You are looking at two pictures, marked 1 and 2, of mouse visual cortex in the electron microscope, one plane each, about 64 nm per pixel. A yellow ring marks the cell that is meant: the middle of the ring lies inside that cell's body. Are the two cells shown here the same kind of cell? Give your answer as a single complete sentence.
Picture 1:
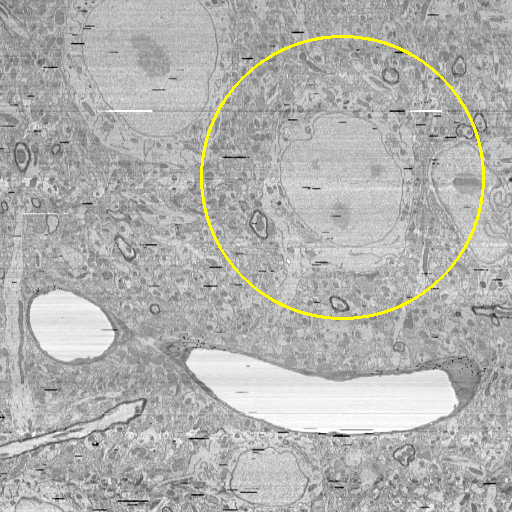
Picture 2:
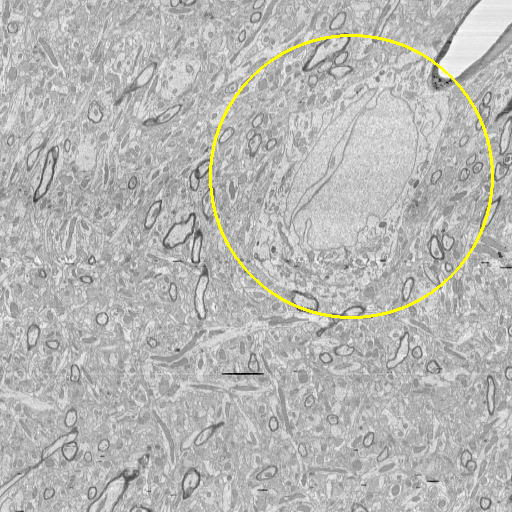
No, picture 1 shows an excitatory neuron and picture 2 shows an inhibitory neuron.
